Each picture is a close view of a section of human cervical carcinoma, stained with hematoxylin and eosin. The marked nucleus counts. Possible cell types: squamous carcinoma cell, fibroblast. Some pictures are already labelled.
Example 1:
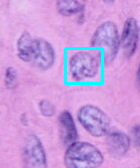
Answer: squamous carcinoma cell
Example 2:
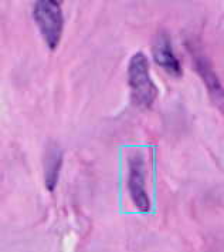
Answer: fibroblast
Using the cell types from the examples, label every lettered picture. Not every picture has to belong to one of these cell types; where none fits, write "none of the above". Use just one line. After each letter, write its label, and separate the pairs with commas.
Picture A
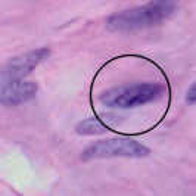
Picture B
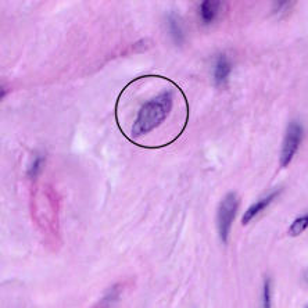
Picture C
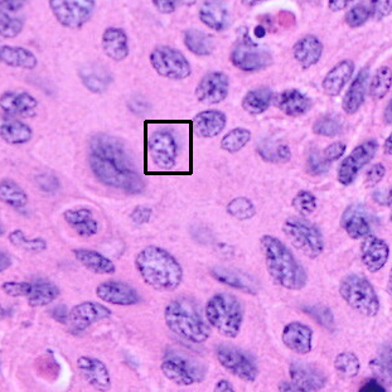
A fibroblast, B fibroblast, C squamous carcinoma cell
